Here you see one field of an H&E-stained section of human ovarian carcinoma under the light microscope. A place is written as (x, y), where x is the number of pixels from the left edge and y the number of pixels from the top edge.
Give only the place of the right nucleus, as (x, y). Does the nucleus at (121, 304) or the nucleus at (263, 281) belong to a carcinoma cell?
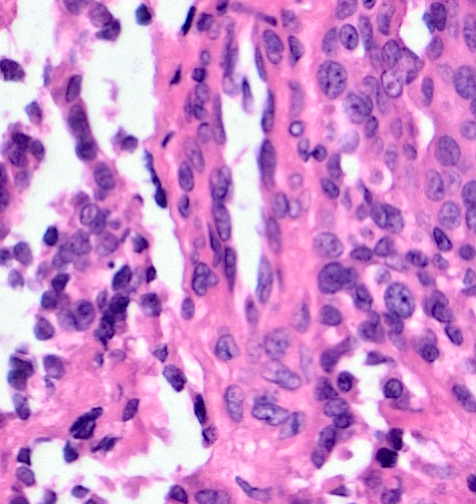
(121, 304)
